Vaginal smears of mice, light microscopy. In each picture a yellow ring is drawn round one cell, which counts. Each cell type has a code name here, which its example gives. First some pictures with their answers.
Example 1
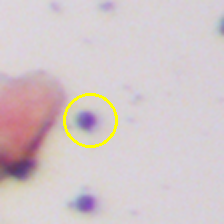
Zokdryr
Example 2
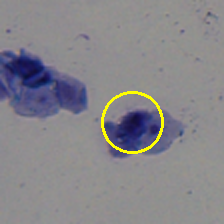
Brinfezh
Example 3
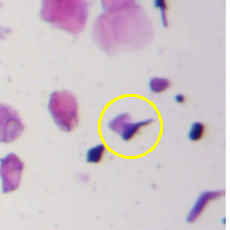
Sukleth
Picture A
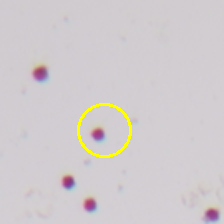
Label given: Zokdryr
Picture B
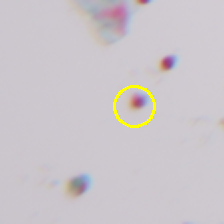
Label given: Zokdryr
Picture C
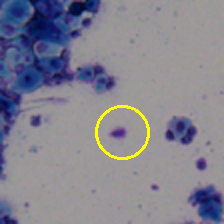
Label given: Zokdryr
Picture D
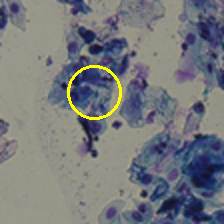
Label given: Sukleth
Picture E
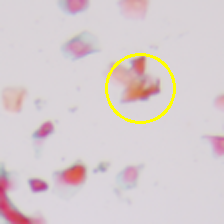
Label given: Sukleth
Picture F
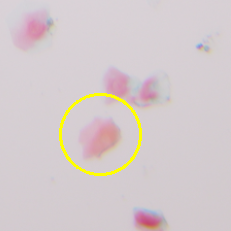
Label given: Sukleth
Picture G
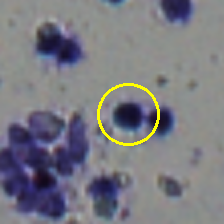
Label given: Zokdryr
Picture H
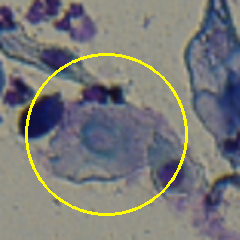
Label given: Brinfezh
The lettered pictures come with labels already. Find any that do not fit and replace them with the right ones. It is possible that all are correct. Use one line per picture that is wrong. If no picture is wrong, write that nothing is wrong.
D: Brinfezh, not Sukleth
